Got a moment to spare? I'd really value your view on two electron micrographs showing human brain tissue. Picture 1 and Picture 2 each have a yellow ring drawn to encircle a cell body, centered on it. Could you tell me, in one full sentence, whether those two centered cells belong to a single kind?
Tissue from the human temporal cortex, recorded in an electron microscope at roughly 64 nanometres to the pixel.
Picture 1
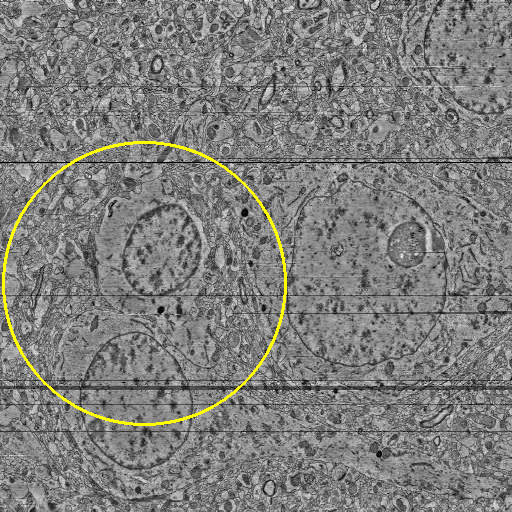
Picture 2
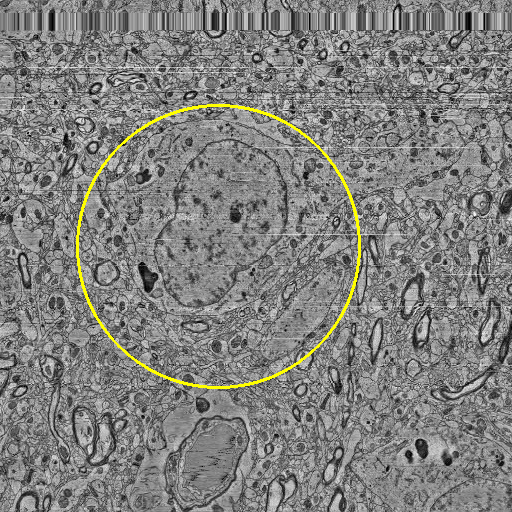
No, the two centered cells in Picture 1 and Picture 2 are of two kinds.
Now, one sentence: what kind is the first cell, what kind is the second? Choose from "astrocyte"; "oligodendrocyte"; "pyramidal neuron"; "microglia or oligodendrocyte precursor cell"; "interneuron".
The first picture has an astrocyte at its ring centre, and the second has a pyramidal neuron.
